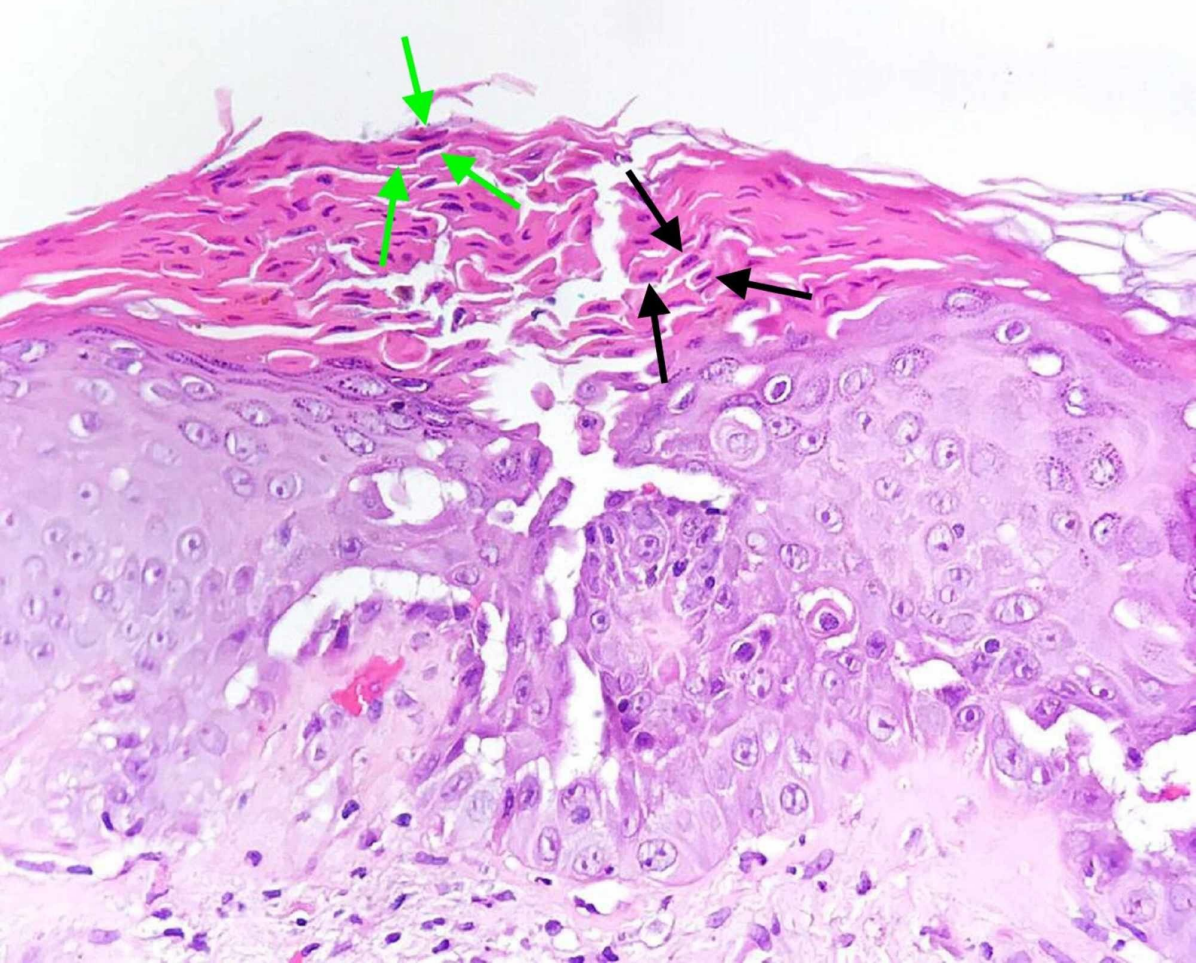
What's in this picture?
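This is skin epidermis with a thick, compact pink cornified layer on top of a layer of large keratinocytes with pale purple cytoplasm and round nuclei. In one place a narrow cleft runs down through the epidermis, and the keratinocytes along it have come apart from each other. Some cells in the upper layers are rounded with a pale halo, while within the cornified layer there are small elongated cells with dark, flattened nuclei.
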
